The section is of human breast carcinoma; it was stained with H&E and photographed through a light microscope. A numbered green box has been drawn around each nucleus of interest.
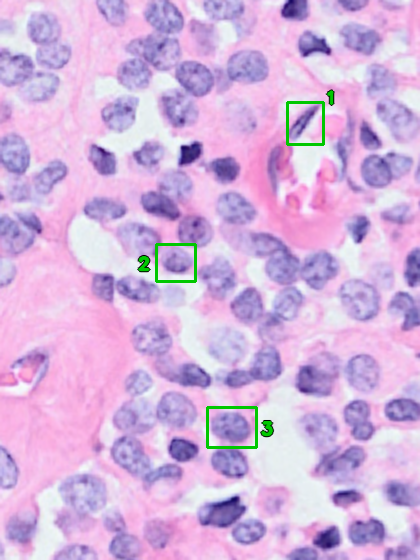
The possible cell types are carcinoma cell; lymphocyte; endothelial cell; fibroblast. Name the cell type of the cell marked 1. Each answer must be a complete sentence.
The cell with the number 1 is an endothelial cell.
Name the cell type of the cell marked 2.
The cell pointed out by number 2 is a carcinoma cell.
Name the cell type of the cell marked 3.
The label 3 in this section denotes a carcinoma cell.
